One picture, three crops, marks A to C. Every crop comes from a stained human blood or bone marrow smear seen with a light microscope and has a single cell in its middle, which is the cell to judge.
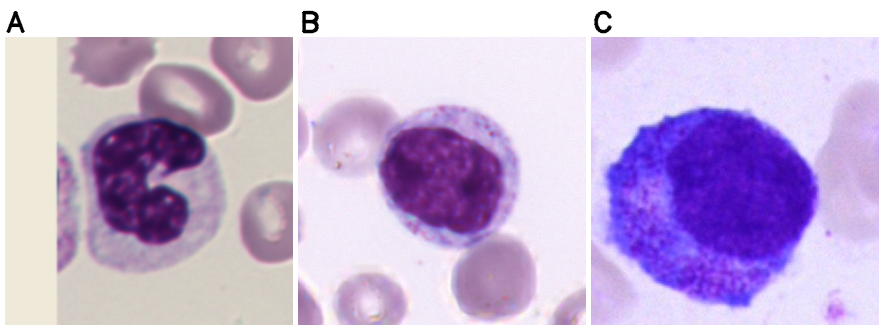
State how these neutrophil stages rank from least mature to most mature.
C, B, A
